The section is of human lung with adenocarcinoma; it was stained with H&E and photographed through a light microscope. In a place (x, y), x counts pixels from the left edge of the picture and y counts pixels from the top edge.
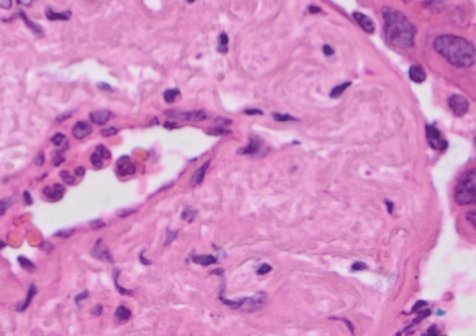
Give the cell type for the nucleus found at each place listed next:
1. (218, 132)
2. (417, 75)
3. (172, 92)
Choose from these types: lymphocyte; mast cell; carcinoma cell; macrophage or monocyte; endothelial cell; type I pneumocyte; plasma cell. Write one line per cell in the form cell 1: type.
cell 1: endothelial cell
cell 2: lymphocyte
cell 3: lymphocyte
